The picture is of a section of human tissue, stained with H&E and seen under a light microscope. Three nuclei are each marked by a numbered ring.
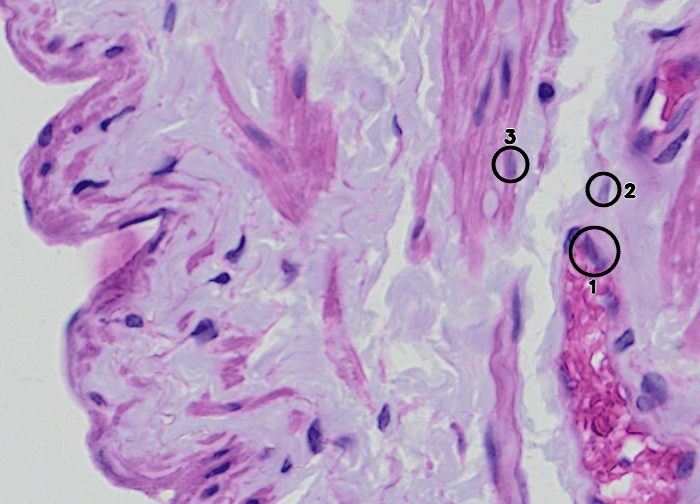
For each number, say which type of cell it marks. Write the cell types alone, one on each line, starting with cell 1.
endothelial cell
fibroblast
smooth muscle cell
